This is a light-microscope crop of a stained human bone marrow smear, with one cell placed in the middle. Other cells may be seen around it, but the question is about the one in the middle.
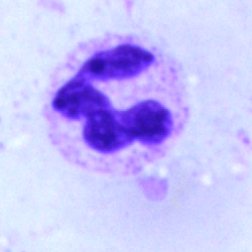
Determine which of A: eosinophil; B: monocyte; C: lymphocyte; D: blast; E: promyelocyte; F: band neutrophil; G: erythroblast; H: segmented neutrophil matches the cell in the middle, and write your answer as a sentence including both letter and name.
Option H holds up: the cell in the middle is a segmented neutrophil.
